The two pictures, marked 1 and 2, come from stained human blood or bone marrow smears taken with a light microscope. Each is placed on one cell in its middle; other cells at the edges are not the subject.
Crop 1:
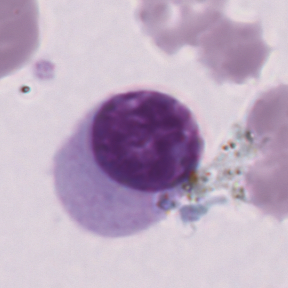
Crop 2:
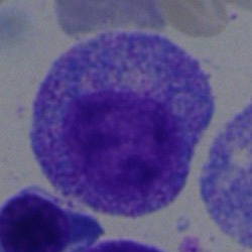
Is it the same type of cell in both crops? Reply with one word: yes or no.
no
